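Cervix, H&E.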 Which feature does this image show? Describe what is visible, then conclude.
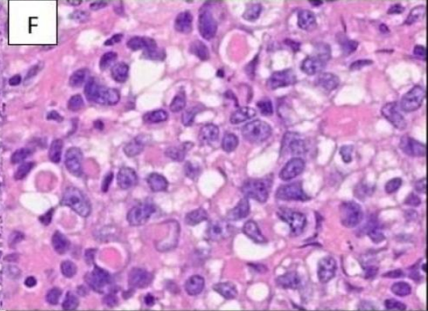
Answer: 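Hyaline globules. Round, glassy, bright pink bodies lie within or between tumor cells.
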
